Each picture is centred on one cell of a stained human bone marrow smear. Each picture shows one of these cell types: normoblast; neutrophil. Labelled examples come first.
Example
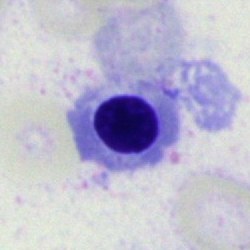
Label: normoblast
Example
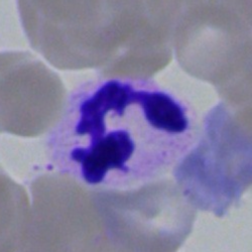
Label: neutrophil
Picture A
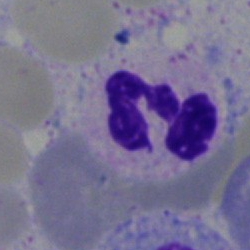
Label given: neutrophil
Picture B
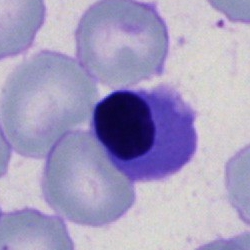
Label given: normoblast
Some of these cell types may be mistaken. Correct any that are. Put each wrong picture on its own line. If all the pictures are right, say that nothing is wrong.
None of the labels needs changing.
